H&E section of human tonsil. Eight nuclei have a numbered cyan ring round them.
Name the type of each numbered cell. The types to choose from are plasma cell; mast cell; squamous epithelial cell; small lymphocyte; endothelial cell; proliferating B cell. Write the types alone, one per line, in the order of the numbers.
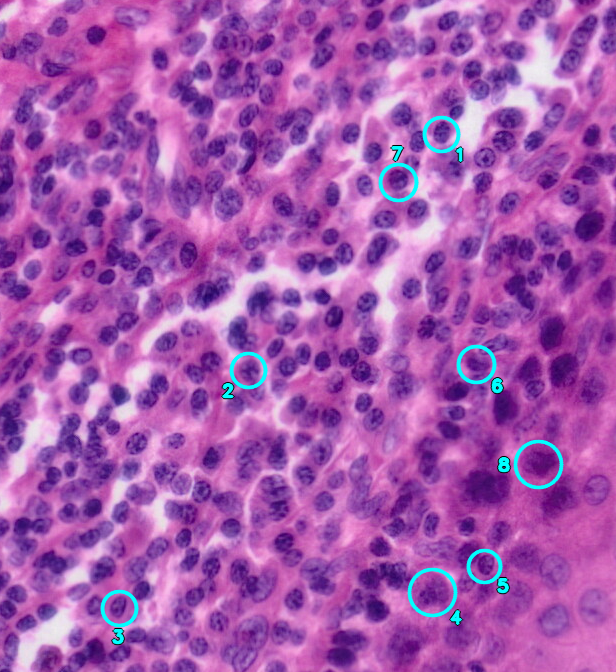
plasma cell
plasma cell
plasma cell
squamous epithelial cell
squamous epithelial cell
squamous epithelial cell
plasma cell
squamous epithelial cell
